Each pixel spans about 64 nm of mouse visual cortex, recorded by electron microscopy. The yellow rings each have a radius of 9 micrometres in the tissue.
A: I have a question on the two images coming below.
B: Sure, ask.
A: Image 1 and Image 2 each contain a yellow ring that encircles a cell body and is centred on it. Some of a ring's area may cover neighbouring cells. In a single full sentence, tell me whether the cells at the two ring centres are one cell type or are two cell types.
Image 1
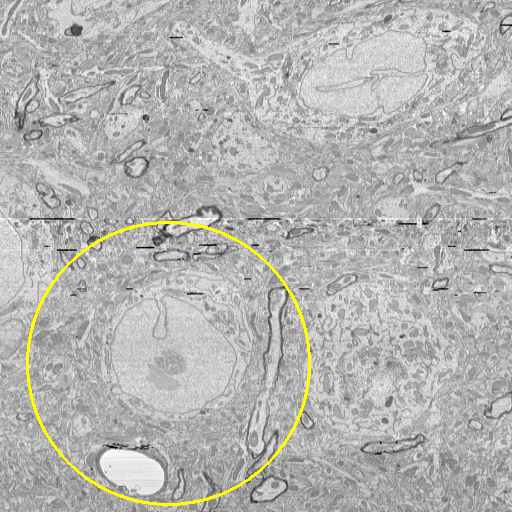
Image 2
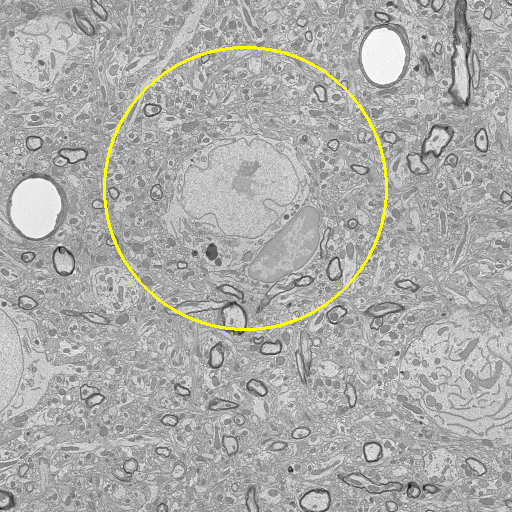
As for the ring-centre cells, the one in Image 1 and the one in Image 2 are one cell type.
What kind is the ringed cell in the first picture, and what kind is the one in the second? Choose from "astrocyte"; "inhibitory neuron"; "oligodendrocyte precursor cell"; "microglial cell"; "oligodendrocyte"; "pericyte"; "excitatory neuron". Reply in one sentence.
Each of the two cells is an inhibitory neuron.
